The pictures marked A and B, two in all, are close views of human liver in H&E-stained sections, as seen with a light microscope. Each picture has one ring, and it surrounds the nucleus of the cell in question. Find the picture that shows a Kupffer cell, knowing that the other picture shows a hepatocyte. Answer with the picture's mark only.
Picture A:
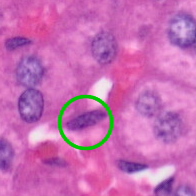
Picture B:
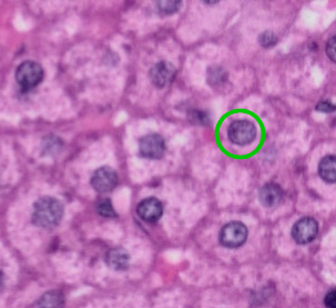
A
